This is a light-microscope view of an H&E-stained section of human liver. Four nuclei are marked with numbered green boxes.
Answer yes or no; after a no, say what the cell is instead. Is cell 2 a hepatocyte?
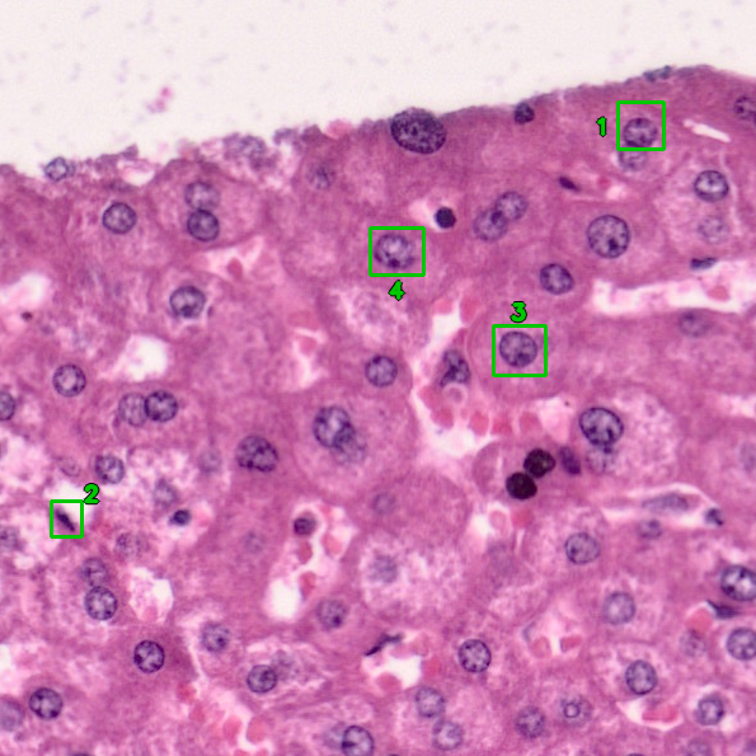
No, it is an endothelial cell.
